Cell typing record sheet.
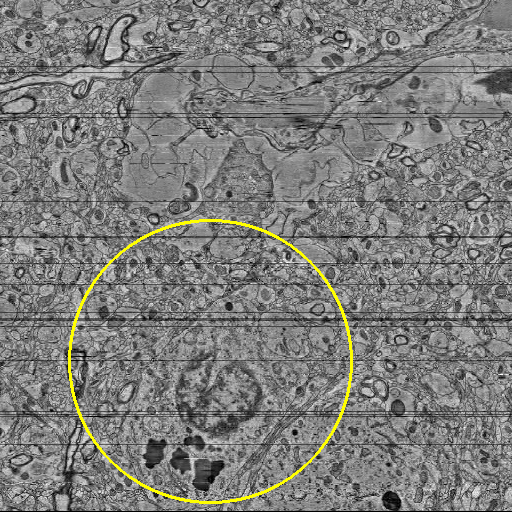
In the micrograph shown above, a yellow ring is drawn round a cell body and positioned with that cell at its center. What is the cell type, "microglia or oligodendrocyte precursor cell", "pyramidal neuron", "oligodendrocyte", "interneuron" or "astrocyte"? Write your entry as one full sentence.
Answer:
The cell body at the center of the ring belongs to an interneuron.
